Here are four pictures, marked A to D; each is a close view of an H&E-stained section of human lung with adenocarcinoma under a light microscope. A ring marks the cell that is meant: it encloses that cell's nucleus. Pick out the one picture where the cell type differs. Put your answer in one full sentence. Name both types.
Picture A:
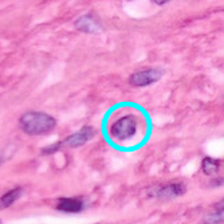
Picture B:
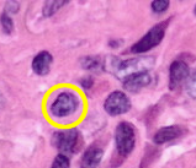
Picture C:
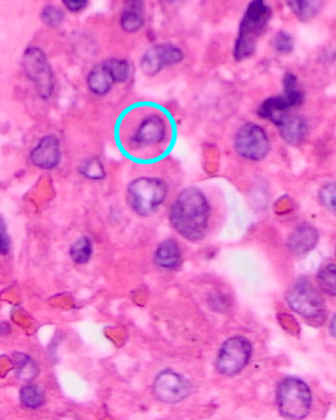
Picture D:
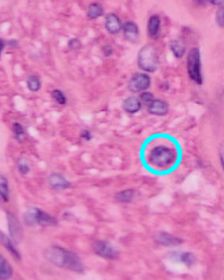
All pictures except C show mast cells; picture C shows a “macrophage or monocyte”.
